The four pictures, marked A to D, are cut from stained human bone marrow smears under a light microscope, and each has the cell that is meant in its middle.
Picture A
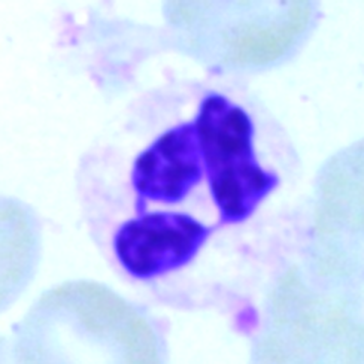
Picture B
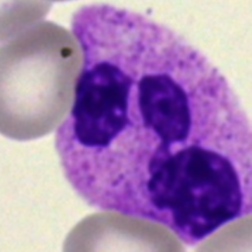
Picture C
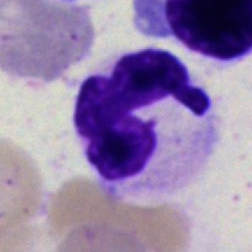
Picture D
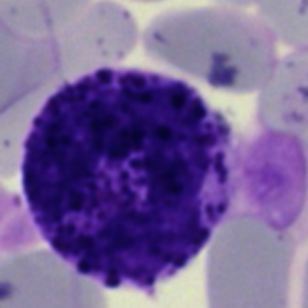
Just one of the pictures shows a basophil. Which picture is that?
D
